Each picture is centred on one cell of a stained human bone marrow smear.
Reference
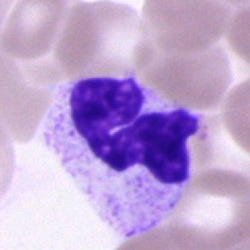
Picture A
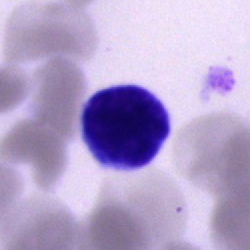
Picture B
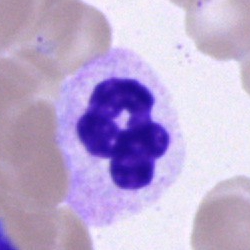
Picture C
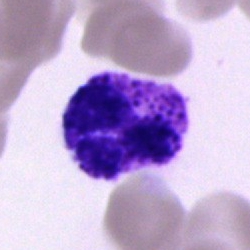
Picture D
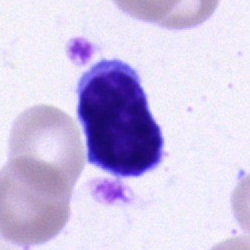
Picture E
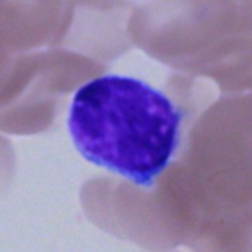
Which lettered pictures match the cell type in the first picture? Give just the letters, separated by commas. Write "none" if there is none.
B, C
